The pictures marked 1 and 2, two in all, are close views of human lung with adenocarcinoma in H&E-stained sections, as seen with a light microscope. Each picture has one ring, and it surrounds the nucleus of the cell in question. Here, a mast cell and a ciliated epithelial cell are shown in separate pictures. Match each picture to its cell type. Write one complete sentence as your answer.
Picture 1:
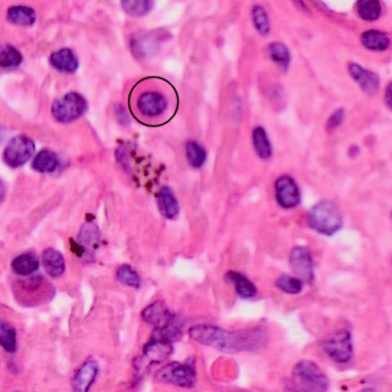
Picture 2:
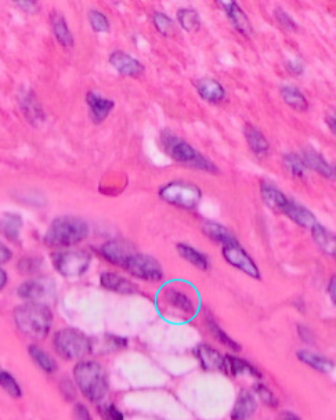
Picture 2 shows a ciliated epithelial cell, while picture 1 shows a mast cell.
